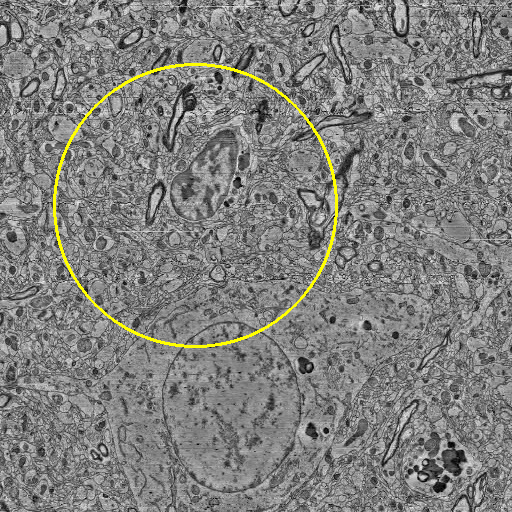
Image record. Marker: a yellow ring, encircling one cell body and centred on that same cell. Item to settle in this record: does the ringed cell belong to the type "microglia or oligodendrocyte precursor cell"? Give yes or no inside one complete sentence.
Yes, in the picture, the cell centred within the yellow ring is of the stated type.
